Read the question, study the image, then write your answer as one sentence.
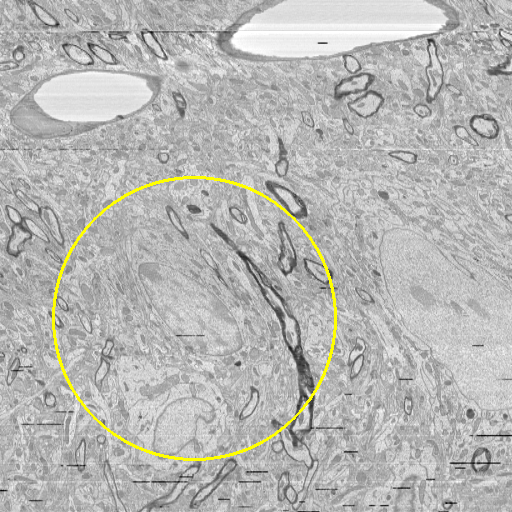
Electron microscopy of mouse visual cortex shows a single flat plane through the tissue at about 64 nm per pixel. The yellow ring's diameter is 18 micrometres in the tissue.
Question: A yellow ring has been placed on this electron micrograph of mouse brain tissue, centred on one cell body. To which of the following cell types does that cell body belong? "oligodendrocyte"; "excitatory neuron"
That cell body belongs to an oligodendrocyte.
